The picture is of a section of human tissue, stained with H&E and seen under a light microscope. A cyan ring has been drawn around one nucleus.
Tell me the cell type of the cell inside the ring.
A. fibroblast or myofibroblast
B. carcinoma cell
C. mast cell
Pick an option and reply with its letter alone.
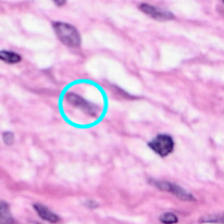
A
